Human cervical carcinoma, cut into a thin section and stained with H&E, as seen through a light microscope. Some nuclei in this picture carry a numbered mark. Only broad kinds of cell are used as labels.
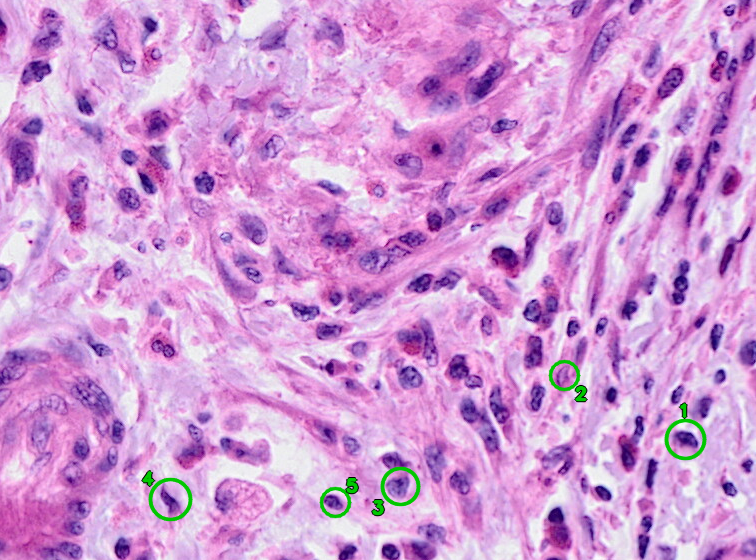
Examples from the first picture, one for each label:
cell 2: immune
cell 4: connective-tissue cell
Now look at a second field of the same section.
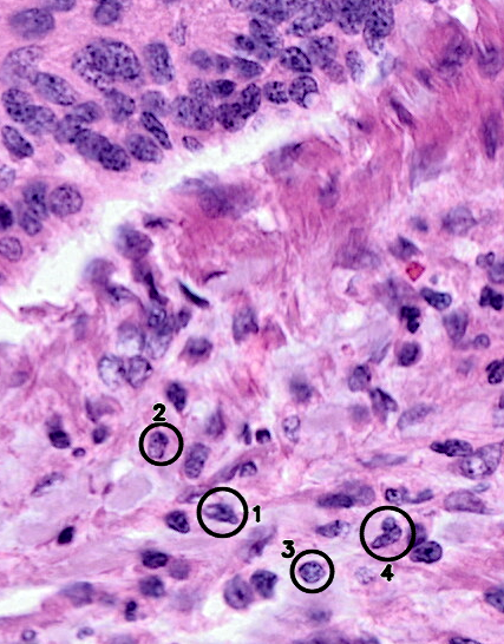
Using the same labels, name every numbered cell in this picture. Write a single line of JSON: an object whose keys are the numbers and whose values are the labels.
{"1": "immune", "2": "immune", "3": "immune", "4": "immune"}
